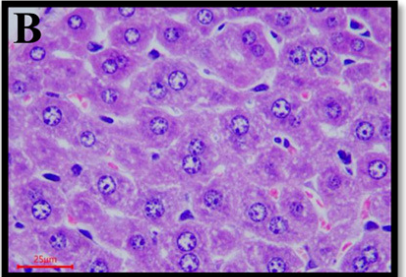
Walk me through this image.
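This is liver tissue made of polygonal hepatocytes arranged in cords separated by narrow sinusoids. The hepatocytes have evenly pink-purple cytoplasm and large round central nuclei with visible chromatin clumps and nucleoli, some cells appearing binucleate. Thin elongated dark nuclei lie along the sinusoid walls, and a few pink-red blood cells are seen in the sinusoids.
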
